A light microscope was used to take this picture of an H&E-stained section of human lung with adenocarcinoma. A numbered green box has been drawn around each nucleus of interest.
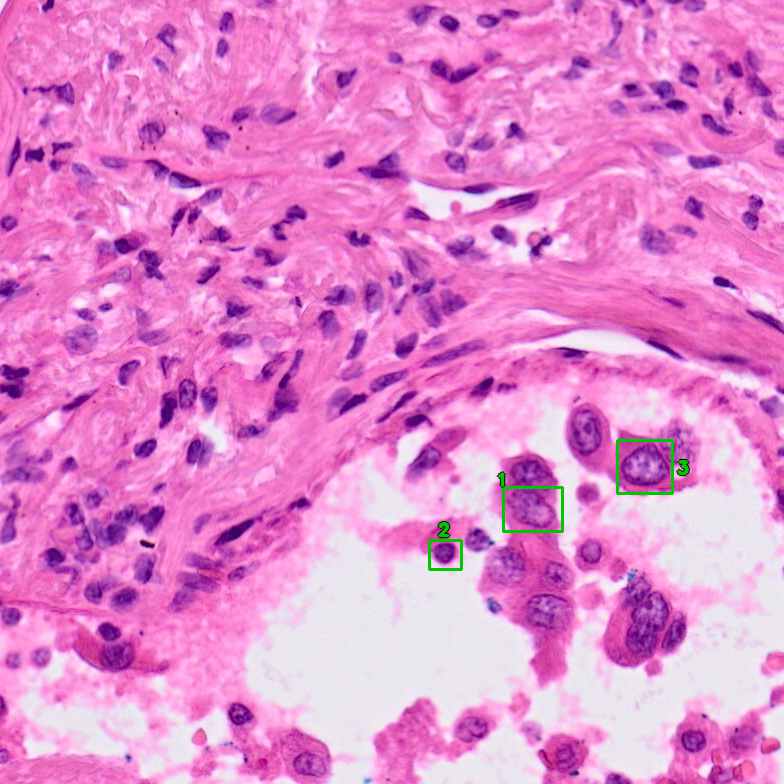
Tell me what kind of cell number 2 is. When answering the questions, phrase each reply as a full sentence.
The cell carrying label 2 is identified as a lymphocyte.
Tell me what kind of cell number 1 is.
Heads up, the cell numbered 1 is a carcinoma cell.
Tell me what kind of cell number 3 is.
The numbered cell 3 is identified here as a carcinoma cell.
